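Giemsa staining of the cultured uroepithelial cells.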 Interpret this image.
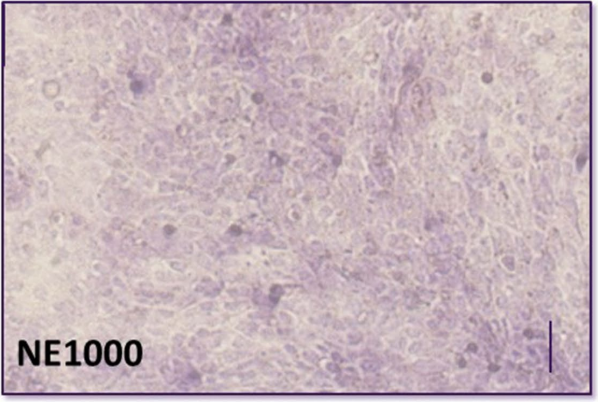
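The cells are closely packed, polygonal to rounded, and have faintly outlined borders. Areas of darker violet staining alternate with paler areas across the sheet. Scattered small, dark, round bodies and a few refractile rounded profiles rest on the layer.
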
